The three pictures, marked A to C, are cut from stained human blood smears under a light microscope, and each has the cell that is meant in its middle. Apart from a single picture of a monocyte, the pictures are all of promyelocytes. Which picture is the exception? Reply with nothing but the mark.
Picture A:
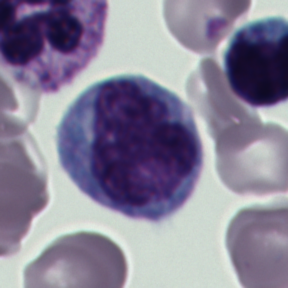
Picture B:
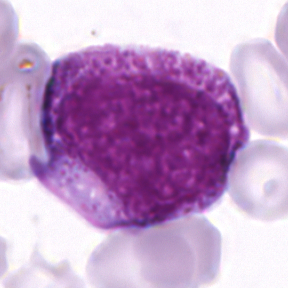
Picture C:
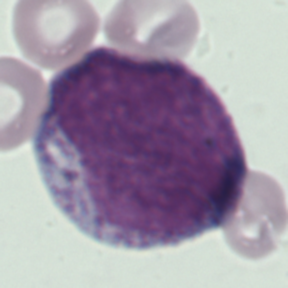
A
